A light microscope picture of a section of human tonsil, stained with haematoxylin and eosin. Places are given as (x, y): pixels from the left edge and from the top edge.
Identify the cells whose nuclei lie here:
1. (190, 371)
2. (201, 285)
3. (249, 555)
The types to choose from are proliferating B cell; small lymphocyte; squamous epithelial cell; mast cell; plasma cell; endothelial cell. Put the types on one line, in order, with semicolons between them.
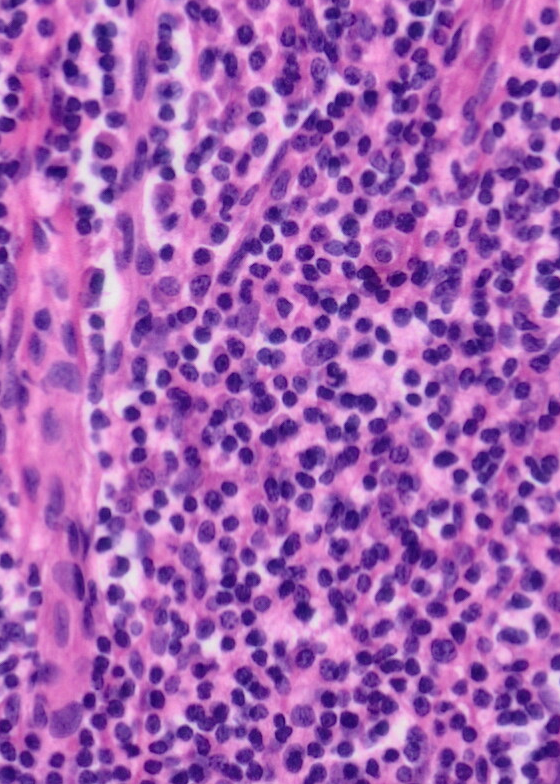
small lymphocyte; plasma cell; small lymphocyte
